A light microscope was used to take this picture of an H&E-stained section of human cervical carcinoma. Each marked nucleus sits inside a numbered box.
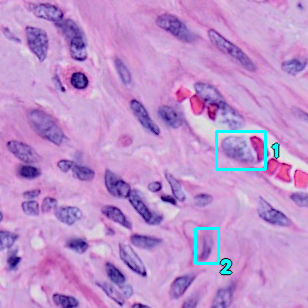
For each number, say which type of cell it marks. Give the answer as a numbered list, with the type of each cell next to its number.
1. endothelial cell
2. smooth muscle cell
